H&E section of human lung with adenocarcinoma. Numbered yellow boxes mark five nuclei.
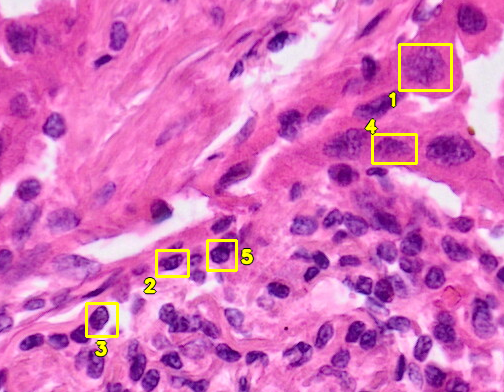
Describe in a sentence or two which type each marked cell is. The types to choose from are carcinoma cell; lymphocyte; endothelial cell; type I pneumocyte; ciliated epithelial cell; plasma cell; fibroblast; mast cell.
Cell 1 is a carcinoma cell, cell 2 is a lymphocyte, cell 3 is a lymphocyte, cell 4 is a carcinoma cell and cell 5 is a lymphocyte.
